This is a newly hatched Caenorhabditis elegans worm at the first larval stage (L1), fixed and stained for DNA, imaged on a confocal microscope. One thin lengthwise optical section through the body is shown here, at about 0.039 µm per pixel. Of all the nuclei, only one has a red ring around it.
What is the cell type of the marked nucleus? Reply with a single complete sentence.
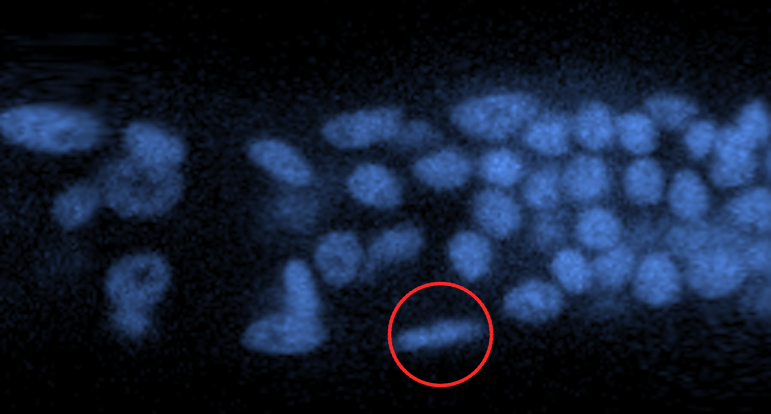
It belongs to a body wall muscle cell.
